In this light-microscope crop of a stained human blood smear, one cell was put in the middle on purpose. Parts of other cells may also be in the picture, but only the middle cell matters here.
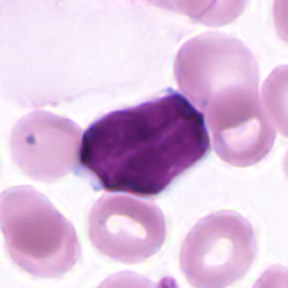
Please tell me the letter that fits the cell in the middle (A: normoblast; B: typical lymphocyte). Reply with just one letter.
B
